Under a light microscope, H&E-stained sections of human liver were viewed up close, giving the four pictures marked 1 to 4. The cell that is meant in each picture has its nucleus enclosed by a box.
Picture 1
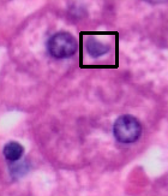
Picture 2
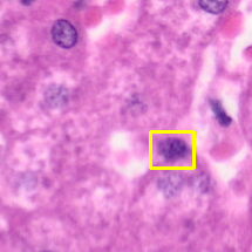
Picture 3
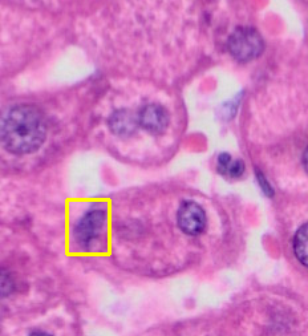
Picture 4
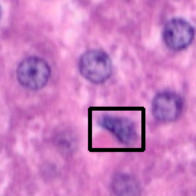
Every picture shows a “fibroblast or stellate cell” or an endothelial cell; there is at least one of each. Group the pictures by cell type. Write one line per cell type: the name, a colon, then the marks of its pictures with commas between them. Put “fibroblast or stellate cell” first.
fibroblast or stellate cell: 2, 3
endothelial cell: 1, 4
